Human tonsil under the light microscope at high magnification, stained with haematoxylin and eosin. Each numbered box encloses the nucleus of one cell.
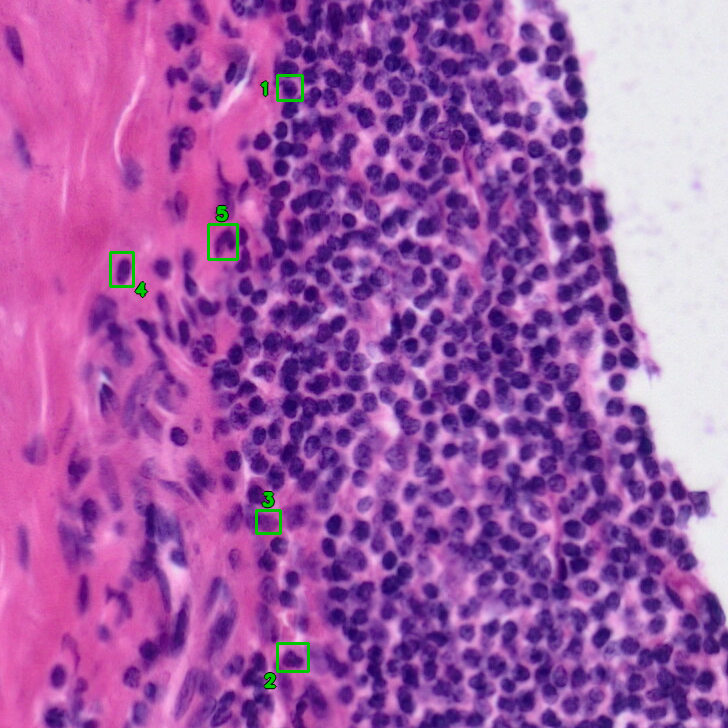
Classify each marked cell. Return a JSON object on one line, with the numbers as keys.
{"1": "small lymphocyte", "2": "endothelial cell", "3": "endothelial cell", "4": "mast cell", "5": "endothelial cell"}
